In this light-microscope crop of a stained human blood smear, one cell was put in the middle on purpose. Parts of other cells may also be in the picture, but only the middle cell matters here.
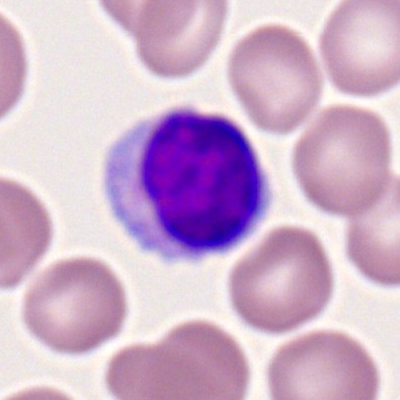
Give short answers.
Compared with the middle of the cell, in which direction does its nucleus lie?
right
